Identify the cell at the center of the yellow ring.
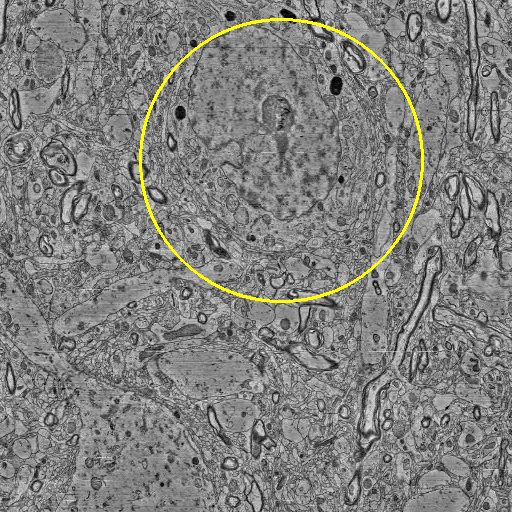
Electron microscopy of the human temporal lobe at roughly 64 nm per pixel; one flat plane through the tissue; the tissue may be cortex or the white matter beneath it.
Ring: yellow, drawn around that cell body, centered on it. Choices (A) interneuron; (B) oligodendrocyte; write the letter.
A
